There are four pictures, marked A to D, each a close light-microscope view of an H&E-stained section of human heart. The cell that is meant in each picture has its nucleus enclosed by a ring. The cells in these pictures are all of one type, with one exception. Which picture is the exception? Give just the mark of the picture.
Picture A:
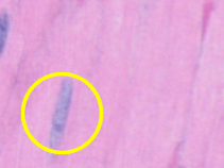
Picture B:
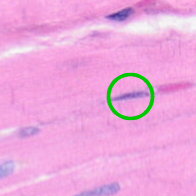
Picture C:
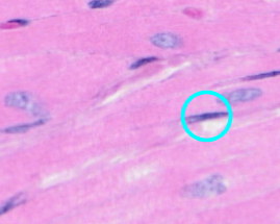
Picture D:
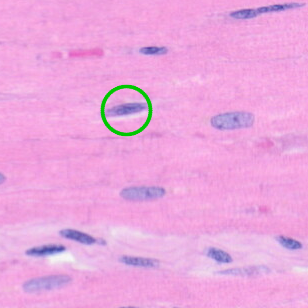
A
